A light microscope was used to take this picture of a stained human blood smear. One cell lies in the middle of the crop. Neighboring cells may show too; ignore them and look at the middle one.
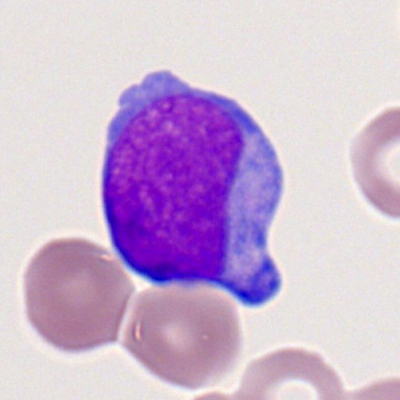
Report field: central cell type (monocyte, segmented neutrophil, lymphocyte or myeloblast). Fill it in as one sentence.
Of the cells in this crop, the central one is a myeloblast.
